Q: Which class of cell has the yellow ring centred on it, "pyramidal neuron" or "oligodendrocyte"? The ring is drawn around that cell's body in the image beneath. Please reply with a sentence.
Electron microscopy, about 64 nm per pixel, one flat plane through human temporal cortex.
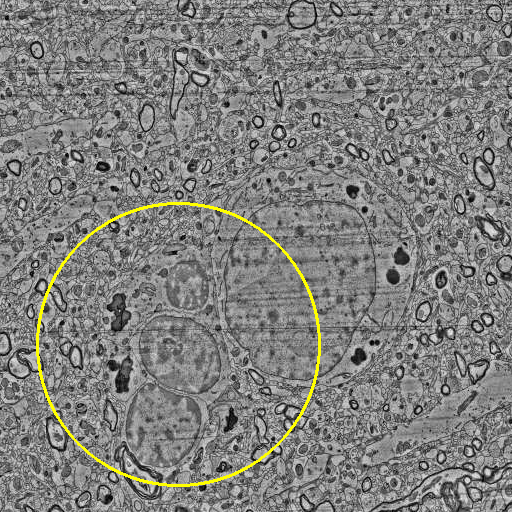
It is centred on an oligodendrocyte.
